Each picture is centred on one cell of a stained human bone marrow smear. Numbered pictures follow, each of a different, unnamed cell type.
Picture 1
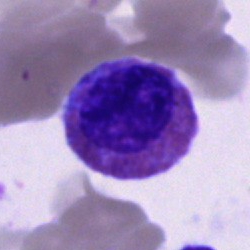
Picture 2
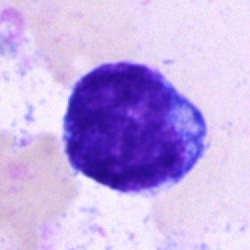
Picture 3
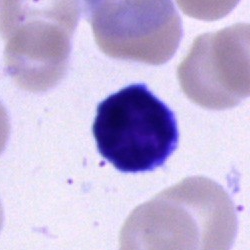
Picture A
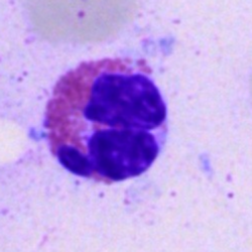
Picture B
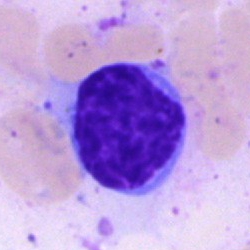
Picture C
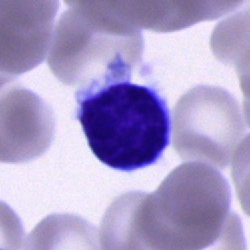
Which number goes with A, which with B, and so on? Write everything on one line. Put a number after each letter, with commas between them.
A 1, B 3, C 3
